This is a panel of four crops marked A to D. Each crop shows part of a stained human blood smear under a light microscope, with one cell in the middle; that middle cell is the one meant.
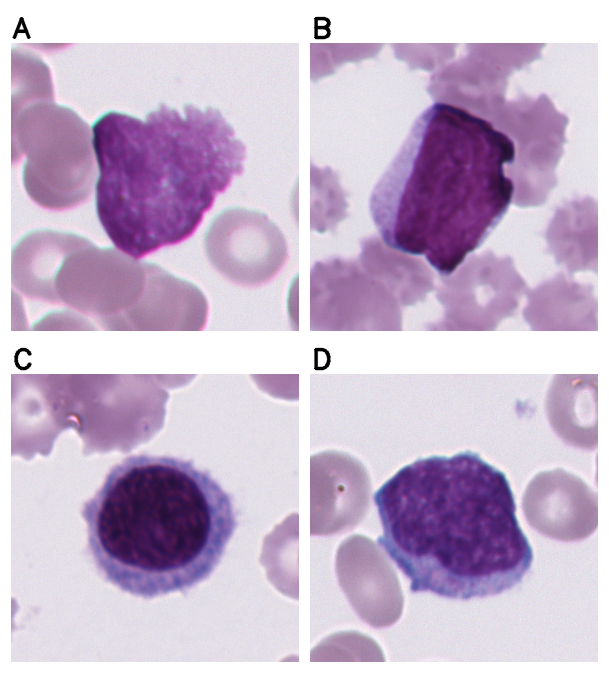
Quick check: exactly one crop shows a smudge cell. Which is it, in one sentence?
Crop A is the crop that shows a smudge cell in its middle.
